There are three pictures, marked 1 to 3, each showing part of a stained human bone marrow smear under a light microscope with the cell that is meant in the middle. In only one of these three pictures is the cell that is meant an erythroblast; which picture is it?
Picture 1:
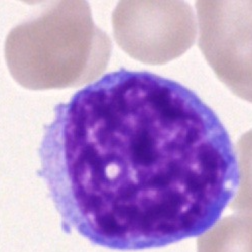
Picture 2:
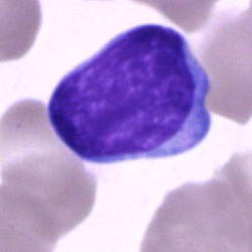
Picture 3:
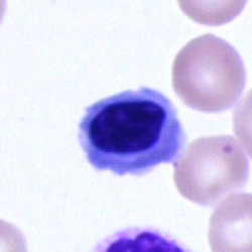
3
